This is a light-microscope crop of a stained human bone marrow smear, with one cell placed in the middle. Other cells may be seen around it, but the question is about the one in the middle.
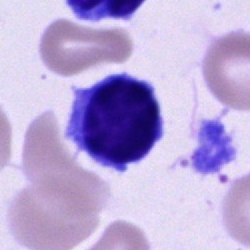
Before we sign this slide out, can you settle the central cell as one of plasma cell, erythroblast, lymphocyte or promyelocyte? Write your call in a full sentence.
The cell centred in this crop is categorized as a lymphocyte.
